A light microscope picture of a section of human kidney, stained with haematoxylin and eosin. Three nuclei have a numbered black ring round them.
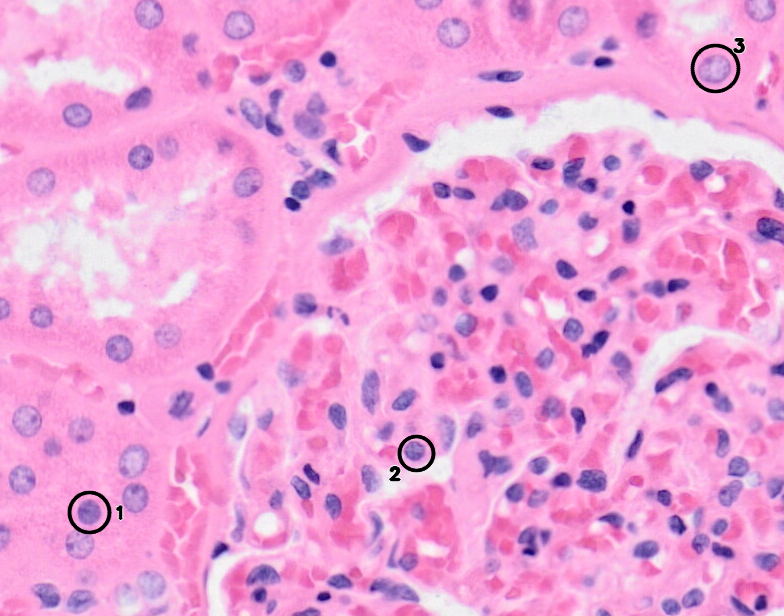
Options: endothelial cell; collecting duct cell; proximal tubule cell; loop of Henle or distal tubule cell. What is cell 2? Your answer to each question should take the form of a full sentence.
Nucleus 2 in this section belongs to an endothelial cell.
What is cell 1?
The marked cell with the number 1 is recognised as a proximal tubule cell.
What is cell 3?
Numbered cell 3 is a proximal tubule cell in this tissue section.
